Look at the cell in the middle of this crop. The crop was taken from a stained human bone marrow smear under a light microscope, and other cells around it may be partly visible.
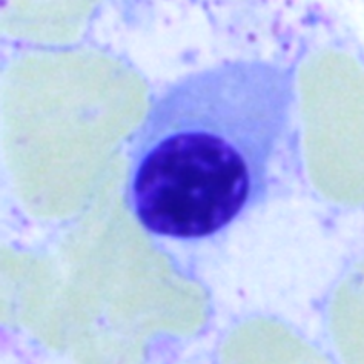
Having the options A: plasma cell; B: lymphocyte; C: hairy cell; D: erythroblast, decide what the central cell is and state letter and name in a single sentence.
This one is option D, since the cell at the center is an erythroblast.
